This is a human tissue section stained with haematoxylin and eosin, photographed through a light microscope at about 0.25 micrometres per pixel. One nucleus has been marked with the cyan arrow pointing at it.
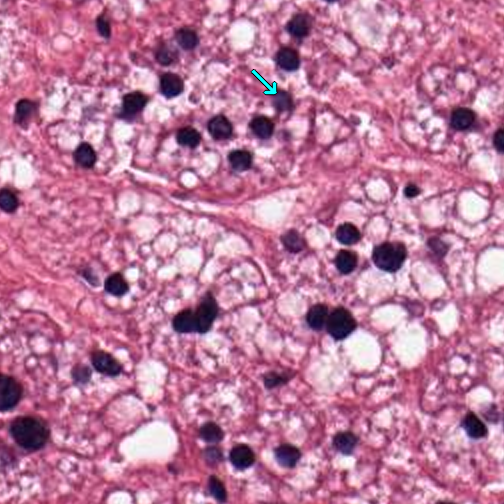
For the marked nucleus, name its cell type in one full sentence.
The nucleus with the mark belongs to an adrenal cortical cell.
